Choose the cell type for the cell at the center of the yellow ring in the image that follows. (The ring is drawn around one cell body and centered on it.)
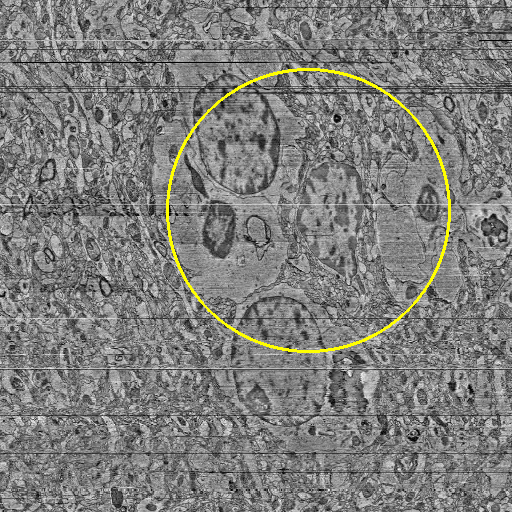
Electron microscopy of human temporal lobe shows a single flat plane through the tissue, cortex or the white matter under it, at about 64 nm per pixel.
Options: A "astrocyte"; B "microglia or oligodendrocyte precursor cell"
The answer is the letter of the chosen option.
B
